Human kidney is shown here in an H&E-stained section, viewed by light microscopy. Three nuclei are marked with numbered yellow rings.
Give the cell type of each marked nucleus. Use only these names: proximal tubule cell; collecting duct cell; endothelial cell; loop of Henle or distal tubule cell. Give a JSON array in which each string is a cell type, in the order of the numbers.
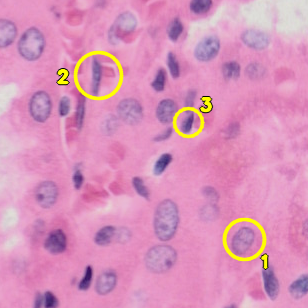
["proximal tubule cell", "endothelial cell", "endothelial cell"]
